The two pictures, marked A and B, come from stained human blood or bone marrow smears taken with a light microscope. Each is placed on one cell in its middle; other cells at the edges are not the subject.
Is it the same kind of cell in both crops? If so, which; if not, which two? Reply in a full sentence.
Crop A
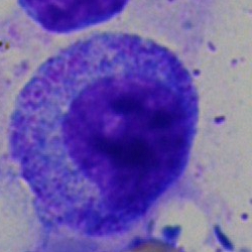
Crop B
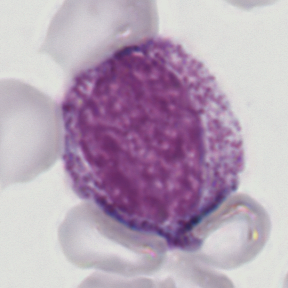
Yes, the cells found in the middle of both crops are promyelocytes.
